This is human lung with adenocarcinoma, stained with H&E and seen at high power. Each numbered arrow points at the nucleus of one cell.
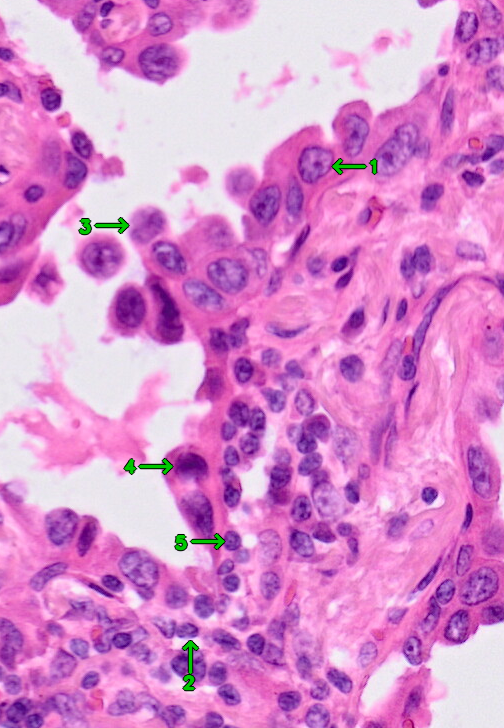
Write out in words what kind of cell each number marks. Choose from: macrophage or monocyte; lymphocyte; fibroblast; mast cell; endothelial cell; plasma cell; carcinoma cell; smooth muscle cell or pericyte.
Cells 1, 3 and 4 are carcinoma cells. Cells 2 and 5 are lymphocytes.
